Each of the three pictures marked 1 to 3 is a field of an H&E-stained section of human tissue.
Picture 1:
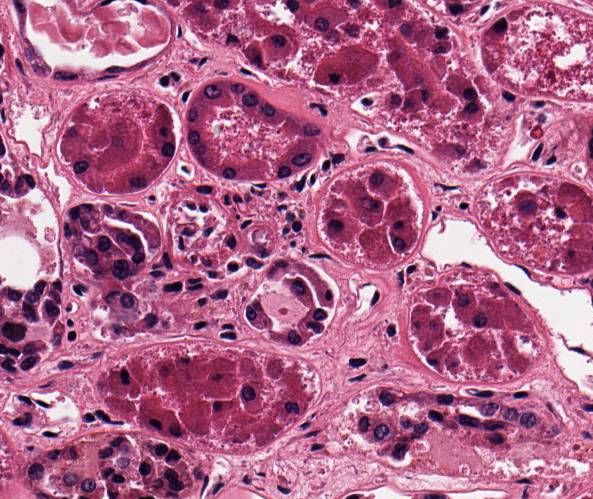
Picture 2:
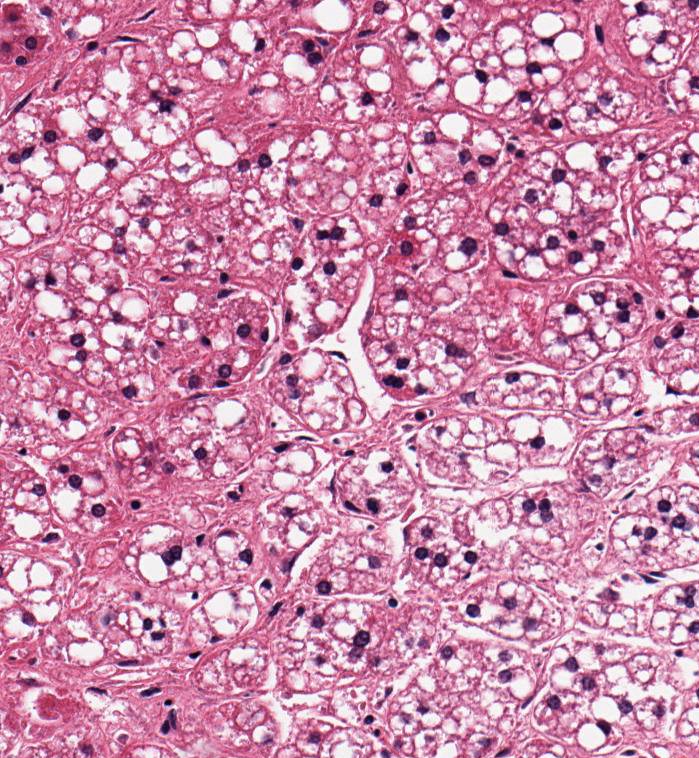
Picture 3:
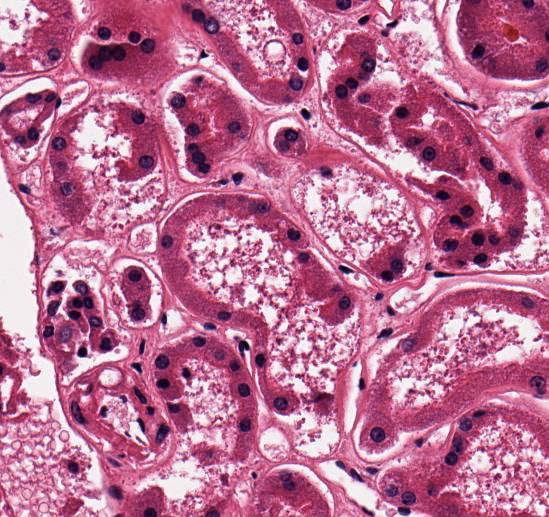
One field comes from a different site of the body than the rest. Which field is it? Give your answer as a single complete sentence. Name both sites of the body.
The others come from the renal cortex, but picture 2 comes from the adrenal gland.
